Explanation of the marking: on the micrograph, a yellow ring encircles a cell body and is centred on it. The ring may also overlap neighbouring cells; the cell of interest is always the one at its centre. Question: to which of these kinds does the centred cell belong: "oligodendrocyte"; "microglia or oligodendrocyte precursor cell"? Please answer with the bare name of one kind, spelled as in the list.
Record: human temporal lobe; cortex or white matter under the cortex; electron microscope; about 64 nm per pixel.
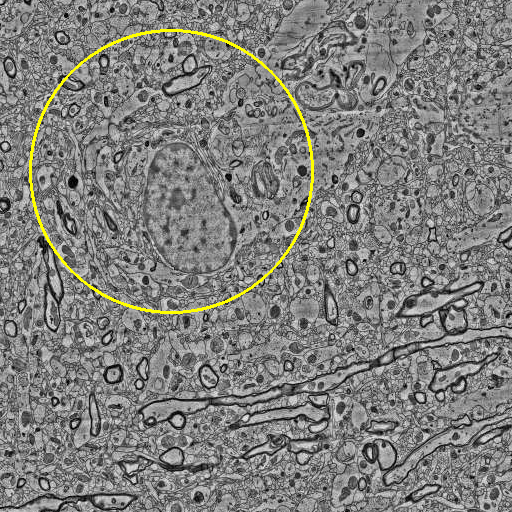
microglia or oligodendrocyte precursor cell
